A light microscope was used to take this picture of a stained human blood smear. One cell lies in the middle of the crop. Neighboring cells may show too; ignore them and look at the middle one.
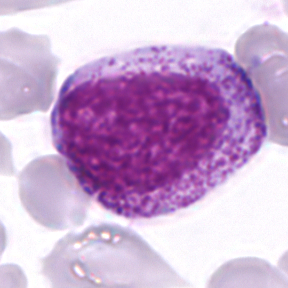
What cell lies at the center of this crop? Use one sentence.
On this slide crop, the central cell is a promyelocyte.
